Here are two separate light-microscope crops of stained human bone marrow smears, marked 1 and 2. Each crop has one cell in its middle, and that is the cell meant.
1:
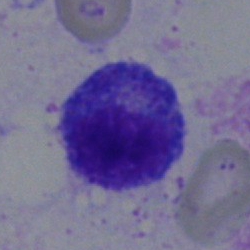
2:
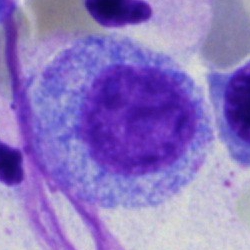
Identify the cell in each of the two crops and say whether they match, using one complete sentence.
Yes, these two crops both show promyelocytes.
